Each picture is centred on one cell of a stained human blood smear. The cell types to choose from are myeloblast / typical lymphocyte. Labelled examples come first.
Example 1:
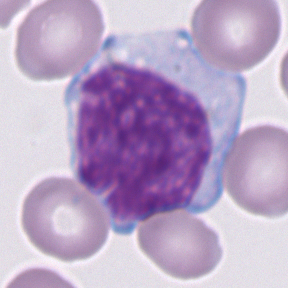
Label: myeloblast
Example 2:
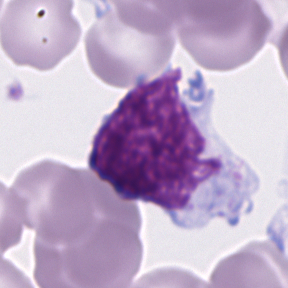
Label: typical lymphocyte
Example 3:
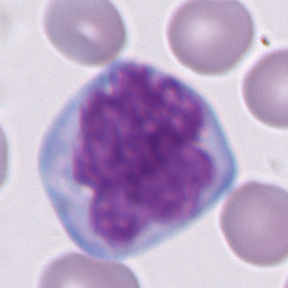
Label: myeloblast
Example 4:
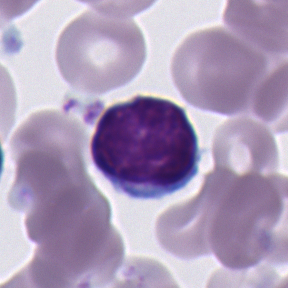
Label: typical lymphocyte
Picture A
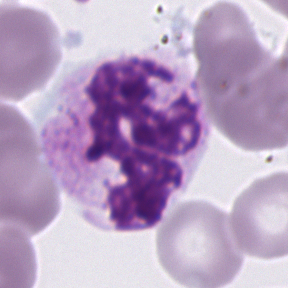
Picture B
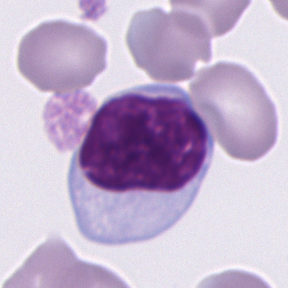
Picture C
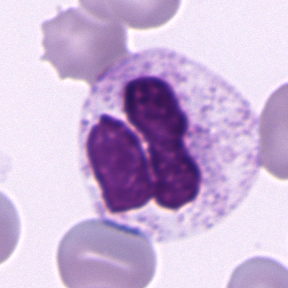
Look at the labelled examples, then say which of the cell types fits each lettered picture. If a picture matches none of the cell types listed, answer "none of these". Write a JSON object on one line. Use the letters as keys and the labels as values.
{"A": "none of these", "B": "typical lymphocyte", "C": "none of these"}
